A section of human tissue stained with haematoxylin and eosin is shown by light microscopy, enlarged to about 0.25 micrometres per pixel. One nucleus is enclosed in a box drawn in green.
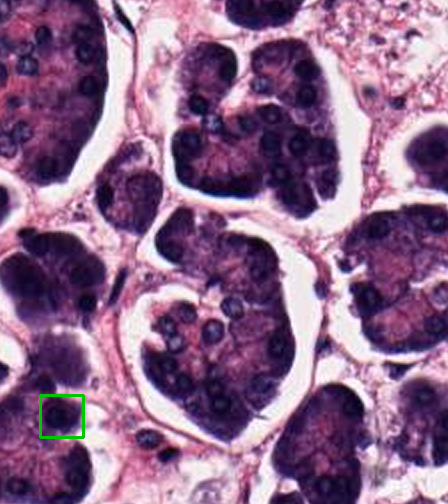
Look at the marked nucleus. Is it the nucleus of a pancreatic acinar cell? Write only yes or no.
yes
